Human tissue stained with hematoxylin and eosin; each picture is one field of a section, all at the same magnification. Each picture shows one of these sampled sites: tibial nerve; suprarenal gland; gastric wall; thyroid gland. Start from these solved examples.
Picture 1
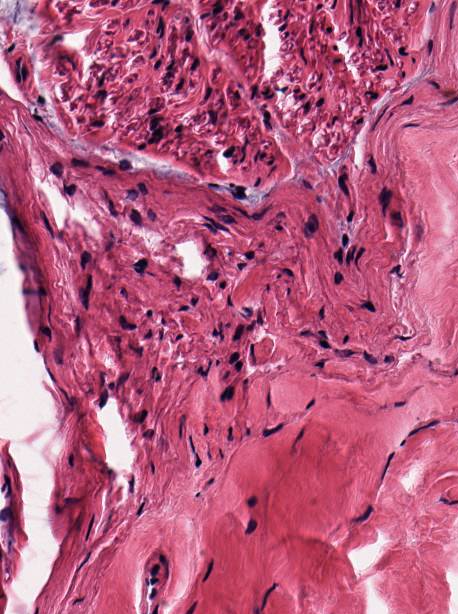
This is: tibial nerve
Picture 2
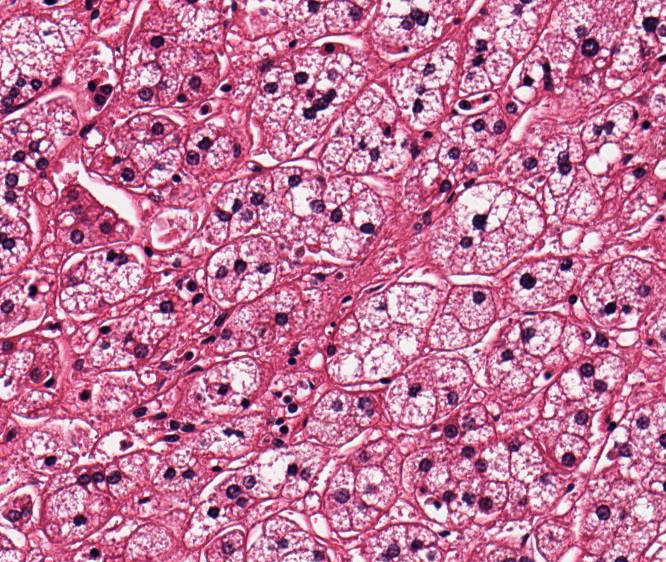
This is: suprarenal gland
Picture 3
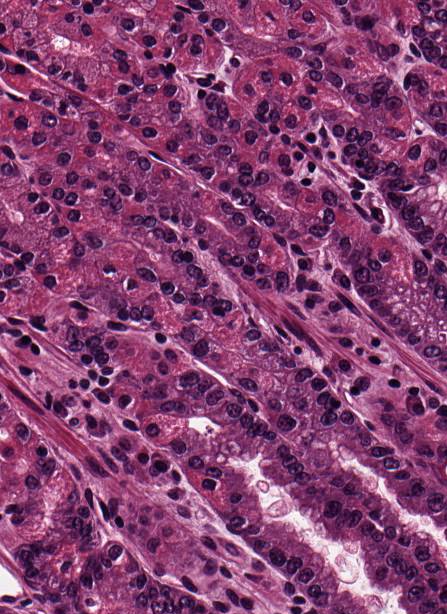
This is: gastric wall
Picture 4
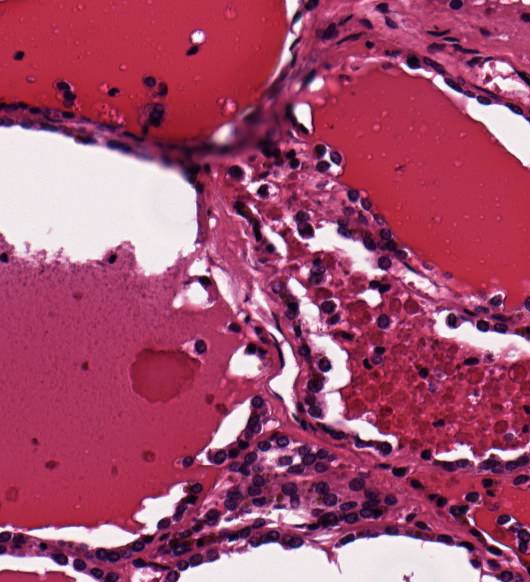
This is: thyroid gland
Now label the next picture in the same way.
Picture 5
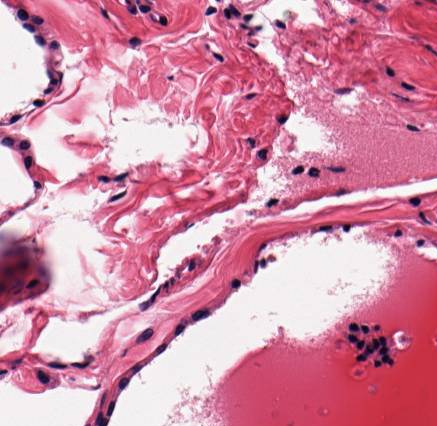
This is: thyroid gland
